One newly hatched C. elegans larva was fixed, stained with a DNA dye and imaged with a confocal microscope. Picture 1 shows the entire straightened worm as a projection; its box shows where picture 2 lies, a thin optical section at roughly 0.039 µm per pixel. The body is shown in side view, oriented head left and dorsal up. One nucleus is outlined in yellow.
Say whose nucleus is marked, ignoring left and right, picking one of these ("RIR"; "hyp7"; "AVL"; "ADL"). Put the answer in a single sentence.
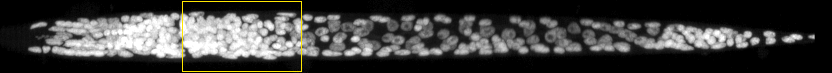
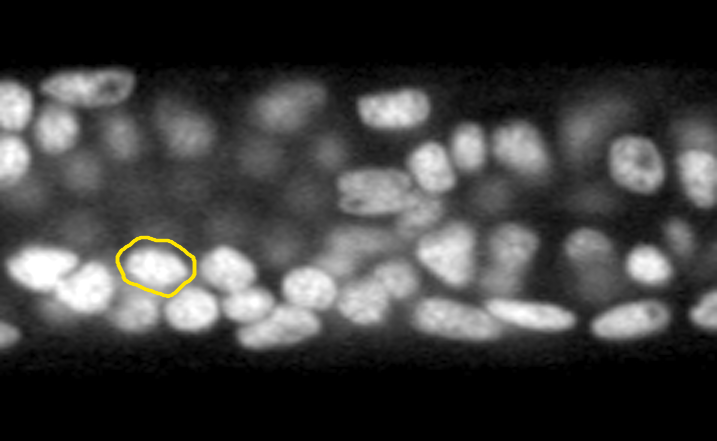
It belongs to RIR, a neuron.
